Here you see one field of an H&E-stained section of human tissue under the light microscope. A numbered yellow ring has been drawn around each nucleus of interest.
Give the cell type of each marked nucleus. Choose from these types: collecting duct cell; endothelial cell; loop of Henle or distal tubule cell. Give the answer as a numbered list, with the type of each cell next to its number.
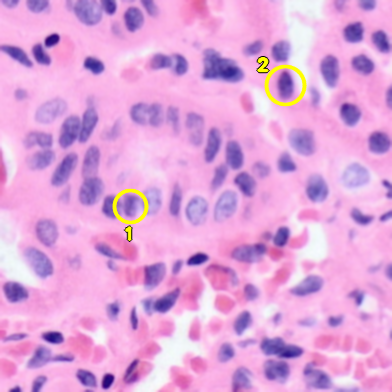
1. collecting duct cell
2. loop of Henle or distal tubule cell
